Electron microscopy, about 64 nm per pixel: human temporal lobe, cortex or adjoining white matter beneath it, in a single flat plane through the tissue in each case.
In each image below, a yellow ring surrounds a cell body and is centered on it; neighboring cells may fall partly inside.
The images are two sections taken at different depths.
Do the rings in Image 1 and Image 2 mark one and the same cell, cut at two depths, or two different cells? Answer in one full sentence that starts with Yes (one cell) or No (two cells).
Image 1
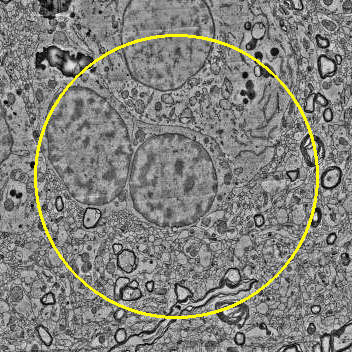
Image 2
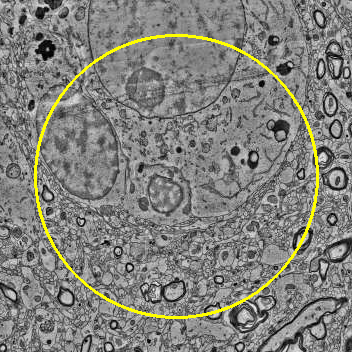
Yes, only one cell is involved, and both rings mark it.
